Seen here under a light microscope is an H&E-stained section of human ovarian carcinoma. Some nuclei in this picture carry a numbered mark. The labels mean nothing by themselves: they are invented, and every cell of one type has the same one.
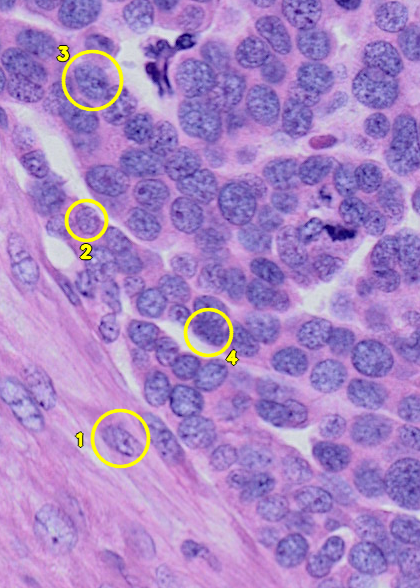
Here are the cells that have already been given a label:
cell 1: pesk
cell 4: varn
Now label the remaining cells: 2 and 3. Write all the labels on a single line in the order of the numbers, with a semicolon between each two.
varn; varn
